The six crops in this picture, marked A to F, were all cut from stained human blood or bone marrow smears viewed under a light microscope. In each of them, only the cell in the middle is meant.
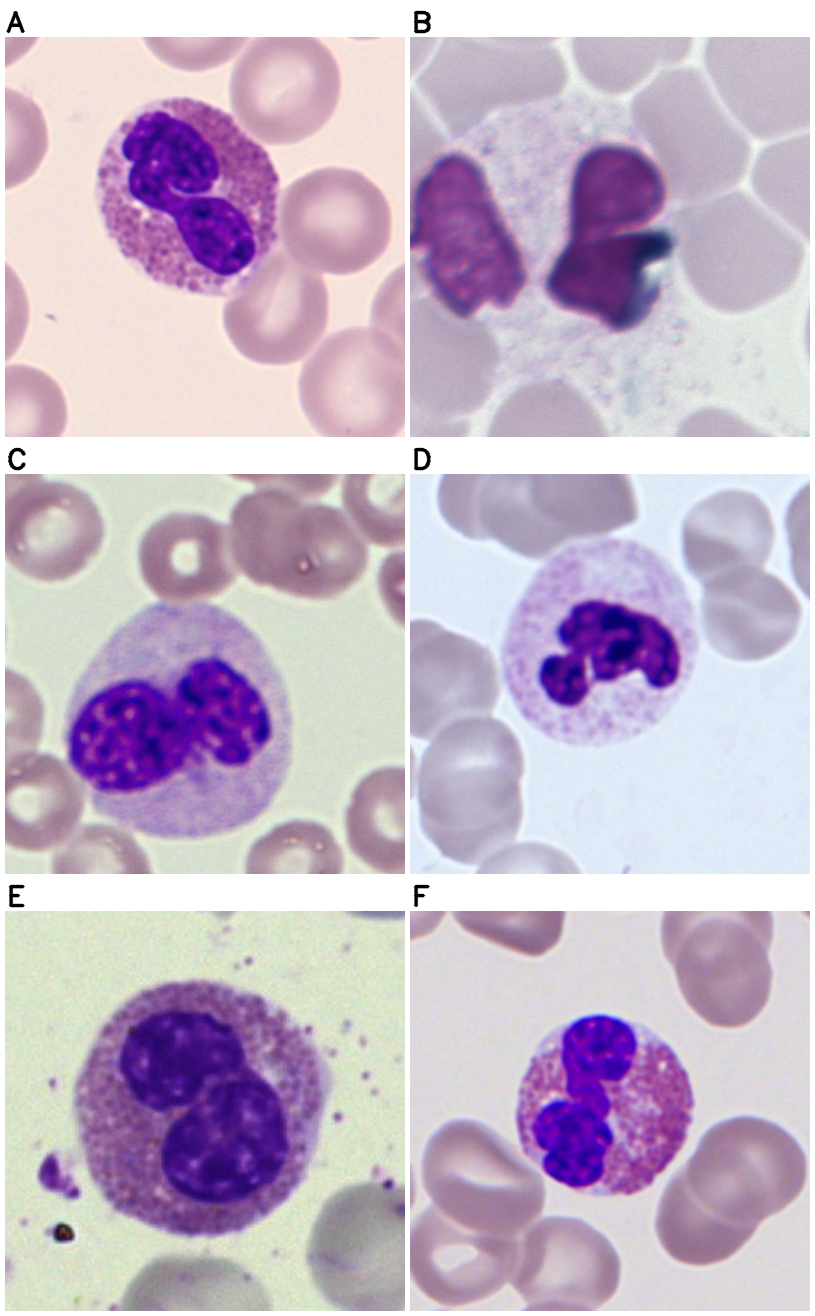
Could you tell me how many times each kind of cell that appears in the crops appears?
eosinophil: 3
segmented neutrophil: 3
